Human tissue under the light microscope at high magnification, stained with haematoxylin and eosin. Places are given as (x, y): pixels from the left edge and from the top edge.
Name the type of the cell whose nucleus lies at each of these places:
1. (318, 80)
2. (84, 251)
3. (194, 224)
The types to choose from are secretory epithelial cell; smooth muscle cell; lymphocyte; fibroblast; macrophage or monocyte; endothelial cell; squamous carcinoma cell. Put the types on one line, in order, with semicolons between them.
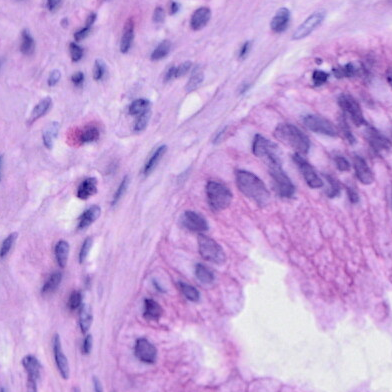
lymphocyte; fibroblast; secretory epithelial cell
